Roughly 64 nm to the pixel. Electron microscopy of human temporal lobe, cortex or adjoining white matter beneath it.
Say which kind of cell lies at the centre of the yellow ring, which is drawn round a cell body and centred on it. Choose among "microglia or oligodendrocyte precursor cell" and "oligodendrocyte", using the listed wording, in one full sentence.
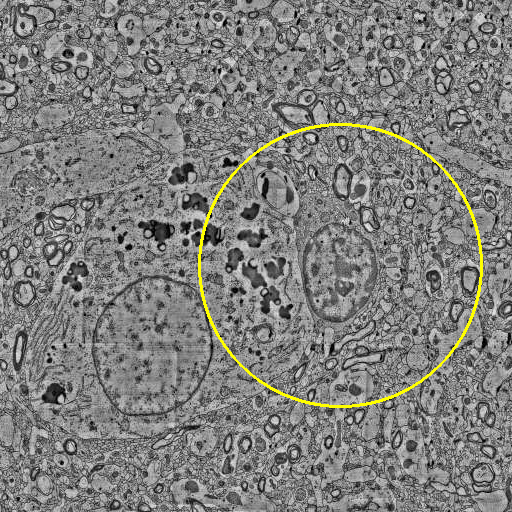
Going by the list, the cell at the yellow ring's centre is an oligodendrocyte.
